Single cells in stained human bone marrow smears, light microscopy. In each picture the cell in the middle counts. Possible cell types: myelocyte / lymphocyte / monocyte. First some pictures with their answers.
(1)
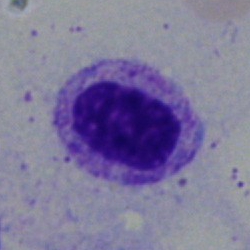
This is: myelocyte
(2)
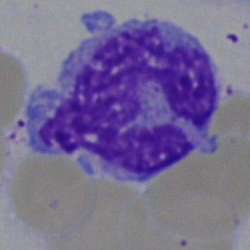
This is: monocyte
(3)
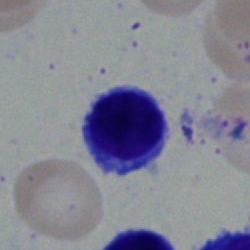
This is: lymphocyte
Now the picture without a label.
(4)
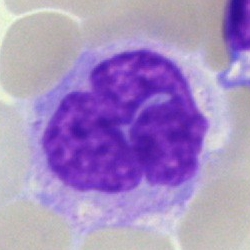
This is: monocyte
